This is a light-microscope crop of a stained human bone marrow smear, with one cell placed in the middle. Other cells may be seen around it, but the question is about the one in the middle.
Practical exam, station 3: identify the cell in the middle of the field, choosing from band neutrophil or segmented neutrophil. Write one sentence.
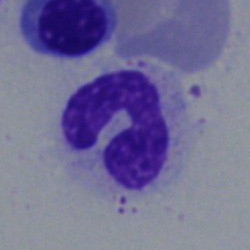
The centrally positioned cell in the crop represents a band neutrophil.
